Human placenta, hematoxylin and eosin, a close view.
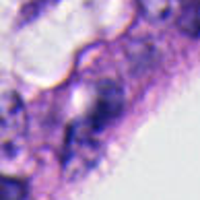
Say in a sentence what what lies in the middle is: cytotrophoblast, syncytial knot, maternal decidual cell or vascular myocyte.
This is a cytotrophoblast.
